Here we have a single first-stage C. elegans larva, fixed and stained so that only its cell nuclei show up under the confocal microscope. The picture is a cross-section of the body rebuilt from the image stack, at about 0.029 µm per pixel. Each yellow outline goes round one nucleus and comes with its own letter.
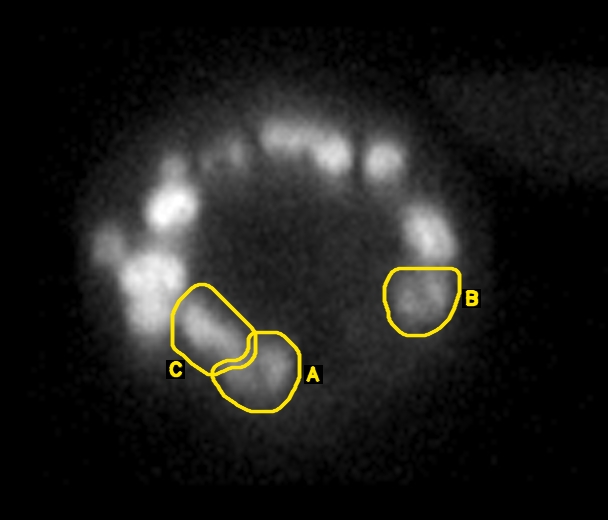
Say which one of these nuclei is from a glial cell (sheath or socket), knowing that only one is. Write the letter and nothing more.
C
